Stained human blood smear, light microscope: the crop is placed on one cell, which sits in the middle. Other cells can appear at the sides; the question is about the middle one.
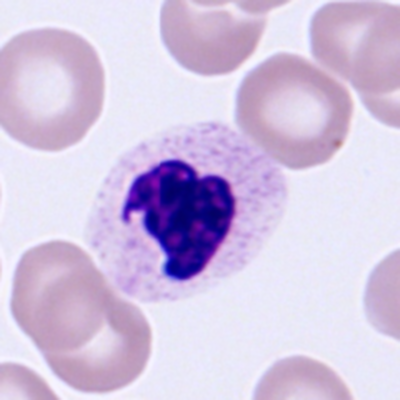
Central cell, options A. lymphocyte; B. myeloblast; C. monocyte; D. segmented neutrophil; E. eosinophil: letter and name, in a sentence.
Option D correctly names the cell in the middle as a segmented neutrophil.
